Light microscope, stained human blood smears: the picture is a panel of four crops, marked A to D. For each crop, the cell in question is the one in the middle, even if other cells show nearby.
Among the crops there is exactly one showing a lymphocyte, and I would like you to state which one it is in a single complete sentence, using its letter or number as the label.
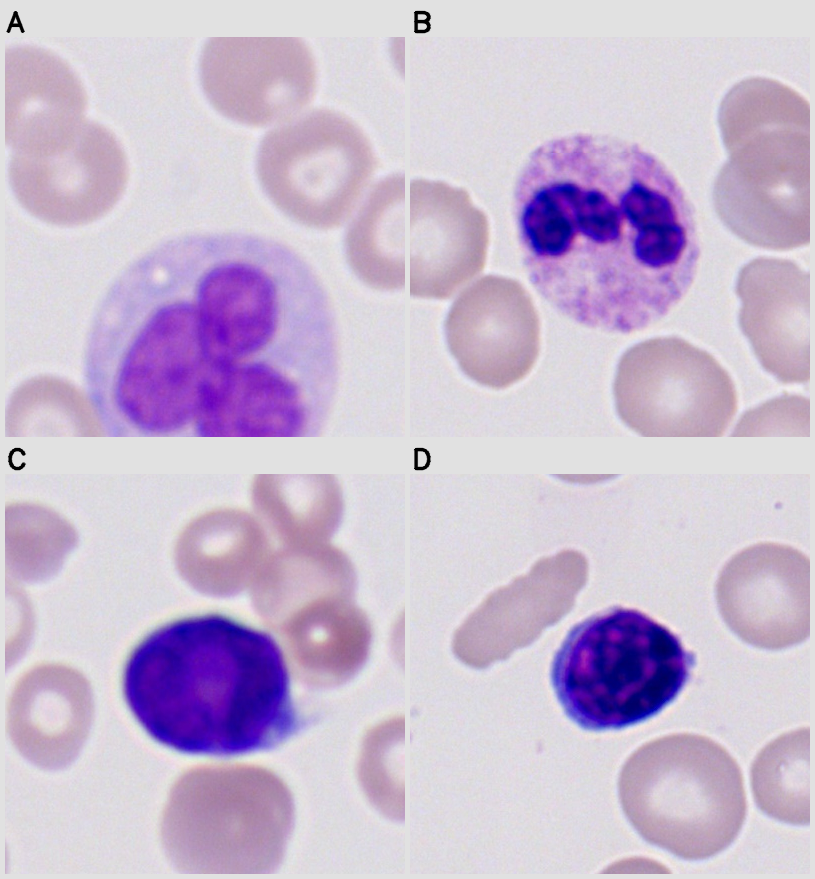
The crop marked D is the one that shows a lymphocyte.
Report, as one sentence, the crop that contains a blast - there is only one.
Of the labeled crops, the one with a blast is crop C.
